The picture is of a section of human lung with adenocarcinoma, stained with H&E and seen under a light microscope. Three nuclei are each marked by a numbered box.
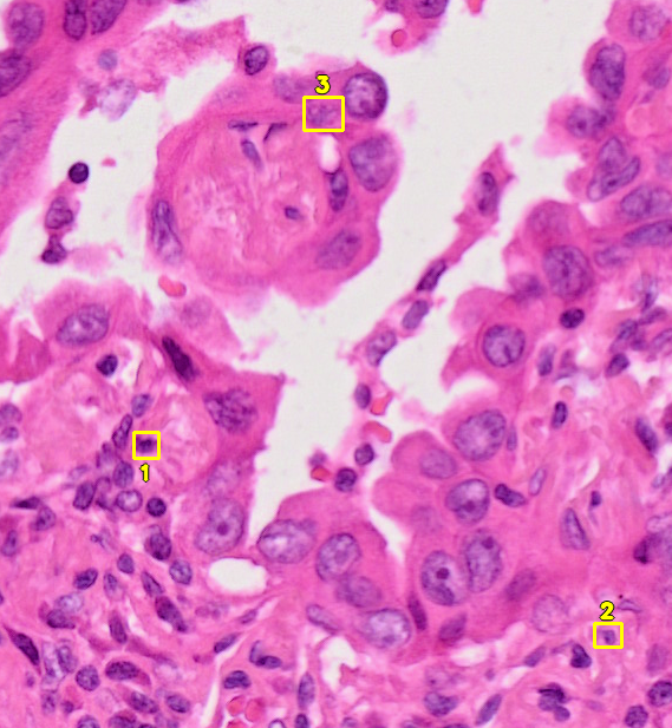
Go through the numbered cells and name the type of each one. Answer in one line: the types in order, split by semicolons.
lymphocyte; lymphocyte; carcinoma cell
